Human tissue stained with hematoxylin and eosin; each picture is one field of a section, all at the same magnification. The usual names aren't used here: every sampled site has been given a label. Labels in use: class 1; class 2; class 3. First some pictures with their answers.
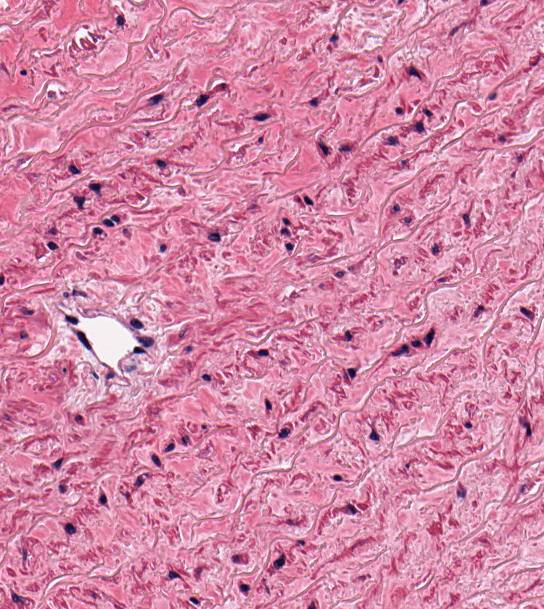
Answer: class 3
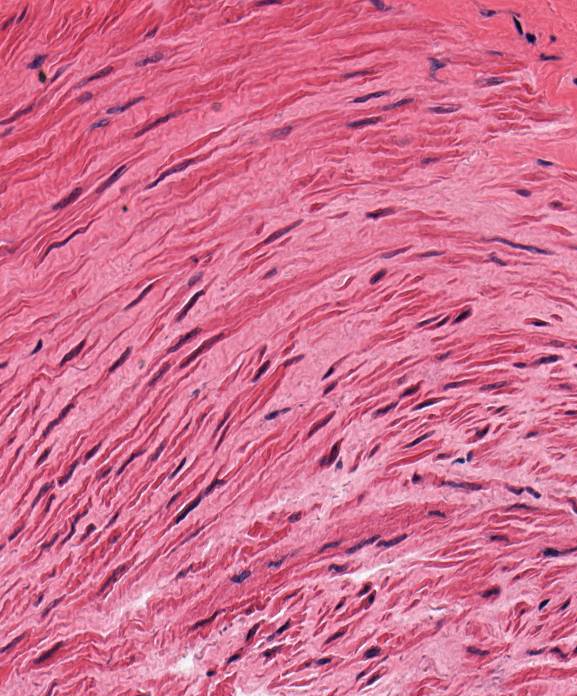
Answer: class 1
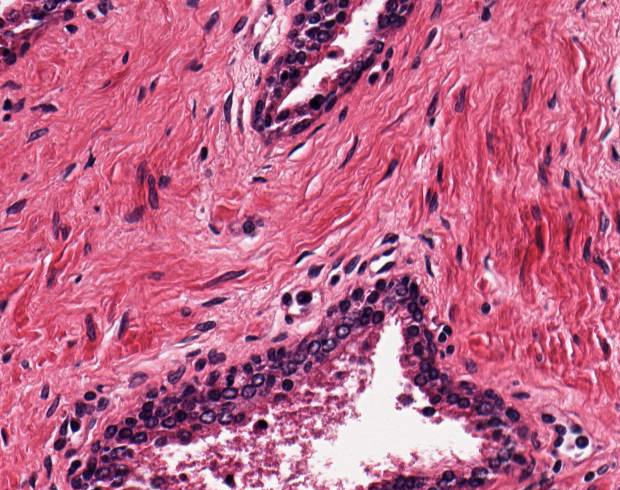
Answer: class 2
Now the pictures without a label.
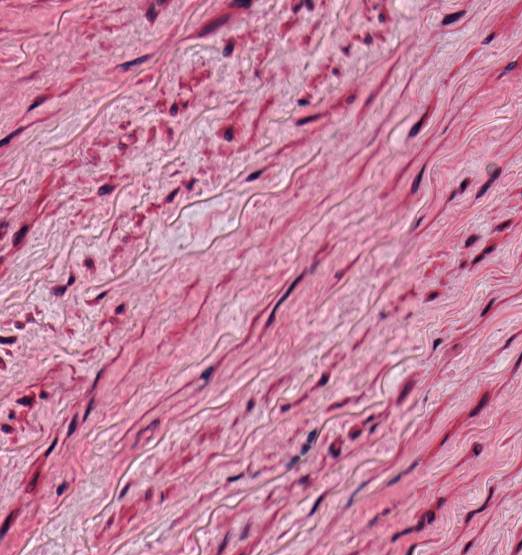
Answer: class 3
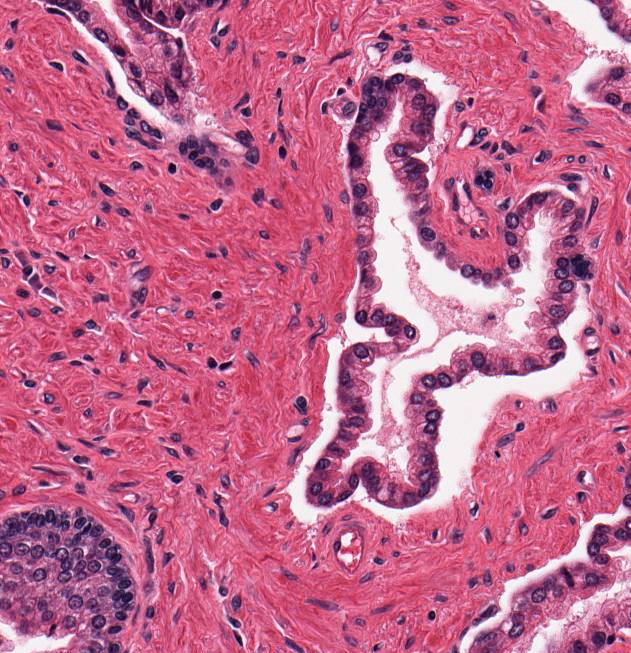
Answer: class 2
